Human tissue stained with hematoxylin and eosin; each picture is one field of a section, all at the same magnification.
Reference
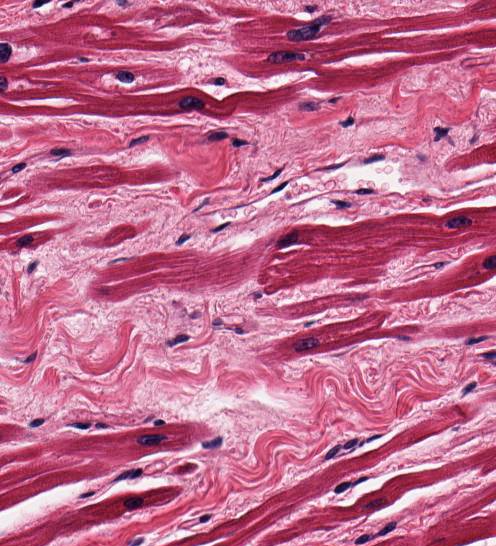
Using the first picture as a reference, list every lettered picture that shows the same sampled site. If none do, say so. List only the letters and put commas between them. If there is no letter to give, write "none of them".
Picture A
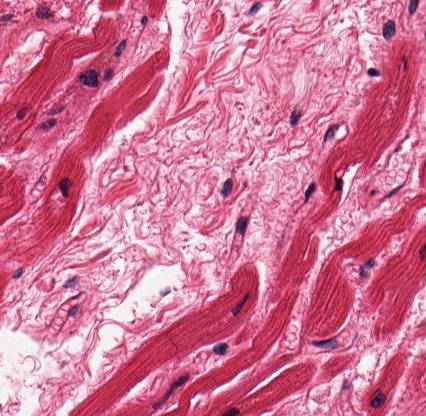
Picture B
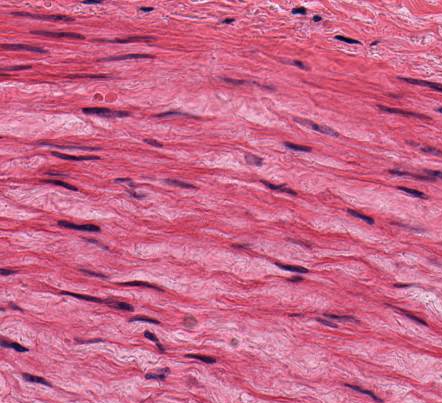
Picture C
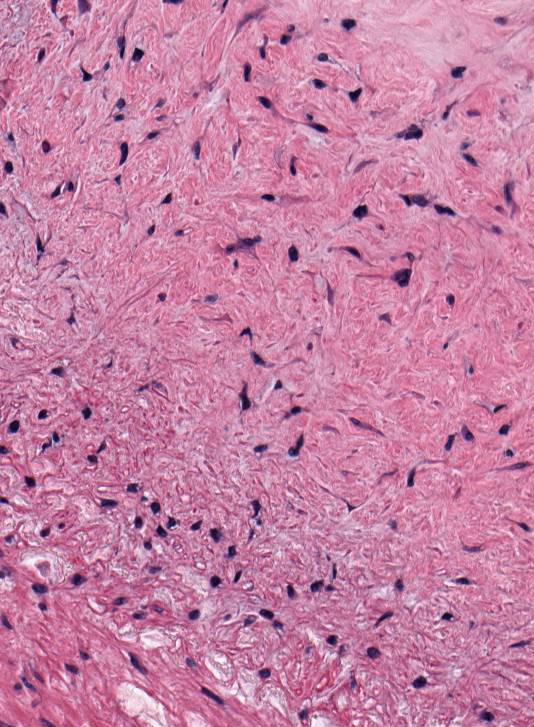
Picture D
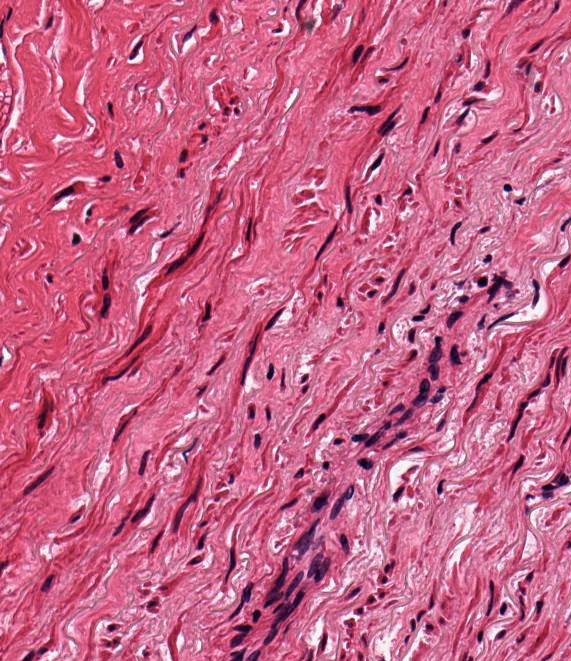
A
